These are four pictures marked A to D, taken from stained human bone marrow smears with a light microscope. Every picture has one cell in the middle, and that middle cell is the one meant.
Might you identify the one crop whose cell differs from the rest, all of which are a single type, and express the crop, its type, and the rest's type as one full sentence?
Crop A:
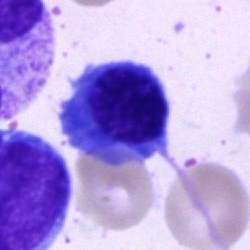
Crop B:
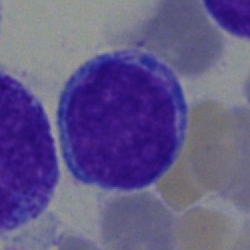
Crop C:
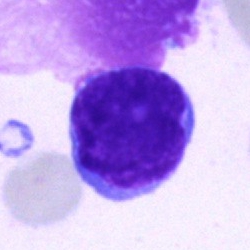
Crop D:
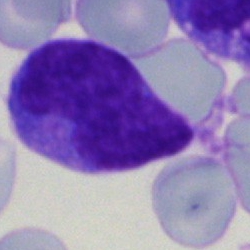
The exception is crop A, with an erythroblast; the remaining crops all show blasts.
